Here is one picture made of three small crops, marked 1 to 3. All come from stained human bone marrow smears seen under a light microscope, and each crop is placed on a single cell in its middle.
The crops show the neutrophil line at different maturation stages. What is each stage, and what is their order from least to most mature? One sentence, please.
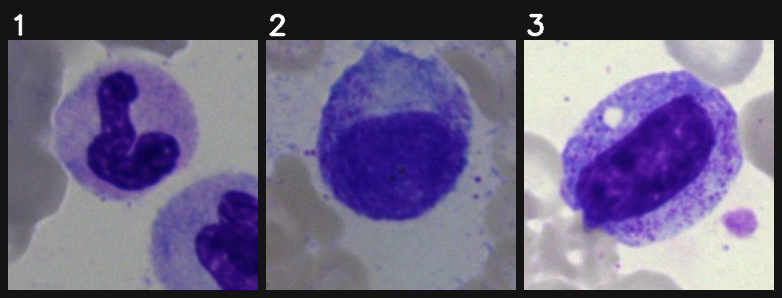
Placed in order of rising maturity, the crops stand as crop 2 (a myelocyte), crop 3 (a metamyelocyte) and crop 1 (a segmented neutrophil).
